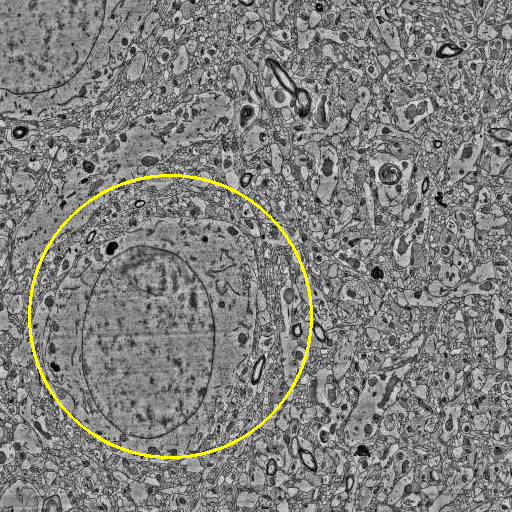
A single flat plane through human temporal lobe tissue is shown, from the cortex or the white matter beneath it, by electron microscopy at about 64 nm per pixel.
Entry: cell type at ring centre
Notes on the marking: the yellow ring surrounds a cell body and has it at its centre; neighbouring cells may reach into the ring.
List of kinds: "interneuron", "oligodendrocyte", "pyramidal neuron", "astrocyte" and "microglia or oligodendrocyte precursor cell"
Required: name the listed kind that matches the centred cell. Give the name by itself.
pyramidal neuron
